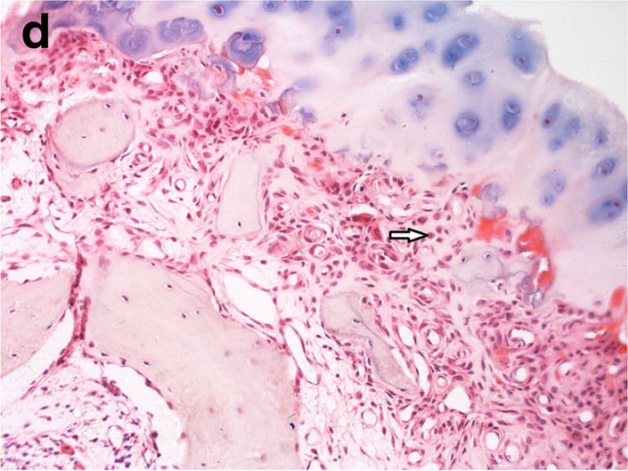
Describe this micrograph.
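Here pale blue hyaline cartilage with rounded chondrocytes, upper right, meets subchondral tissue below and to the left. Between pale pink bone pieces lies abundant cellular fibrovascular tissue: plump spindle and oval cells with dark nuclei, loose pink collagen and many small vessel lumens, some with red blood cells. This tissue pushes into the cartilage, whose lower edge is ragged and broken, with small islands of cartilage cut off within the cellular tissue. Patches of bright red red-cell extravasation lie next to the cartilage border.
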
